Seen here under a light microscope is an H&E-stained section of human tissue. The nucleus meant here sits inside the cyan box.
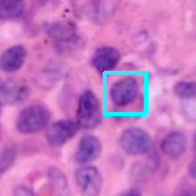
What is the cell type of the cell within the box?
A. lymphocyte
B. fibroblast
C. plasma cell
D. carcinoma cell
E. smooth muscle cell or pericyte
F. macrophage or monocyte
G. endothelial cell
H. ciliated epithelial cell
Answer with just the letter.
C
